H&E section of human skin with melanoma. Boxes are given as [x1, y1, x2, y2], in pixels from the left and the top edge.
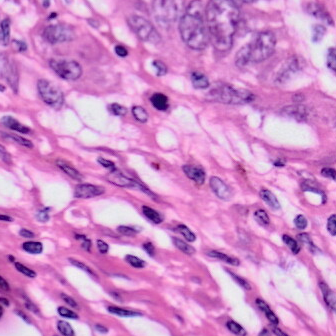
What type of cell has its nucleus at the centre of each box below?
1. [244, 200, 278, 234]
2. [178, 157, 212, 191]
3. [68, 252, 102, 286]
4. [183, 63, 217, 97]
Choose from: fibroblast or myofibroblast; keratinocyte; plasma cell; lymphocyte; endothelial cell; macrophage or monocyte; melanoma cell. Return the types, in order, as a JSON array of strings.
["plasma cell", "lymphocyte", "fibroblast or myofibroblast", "lymphocyte"]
